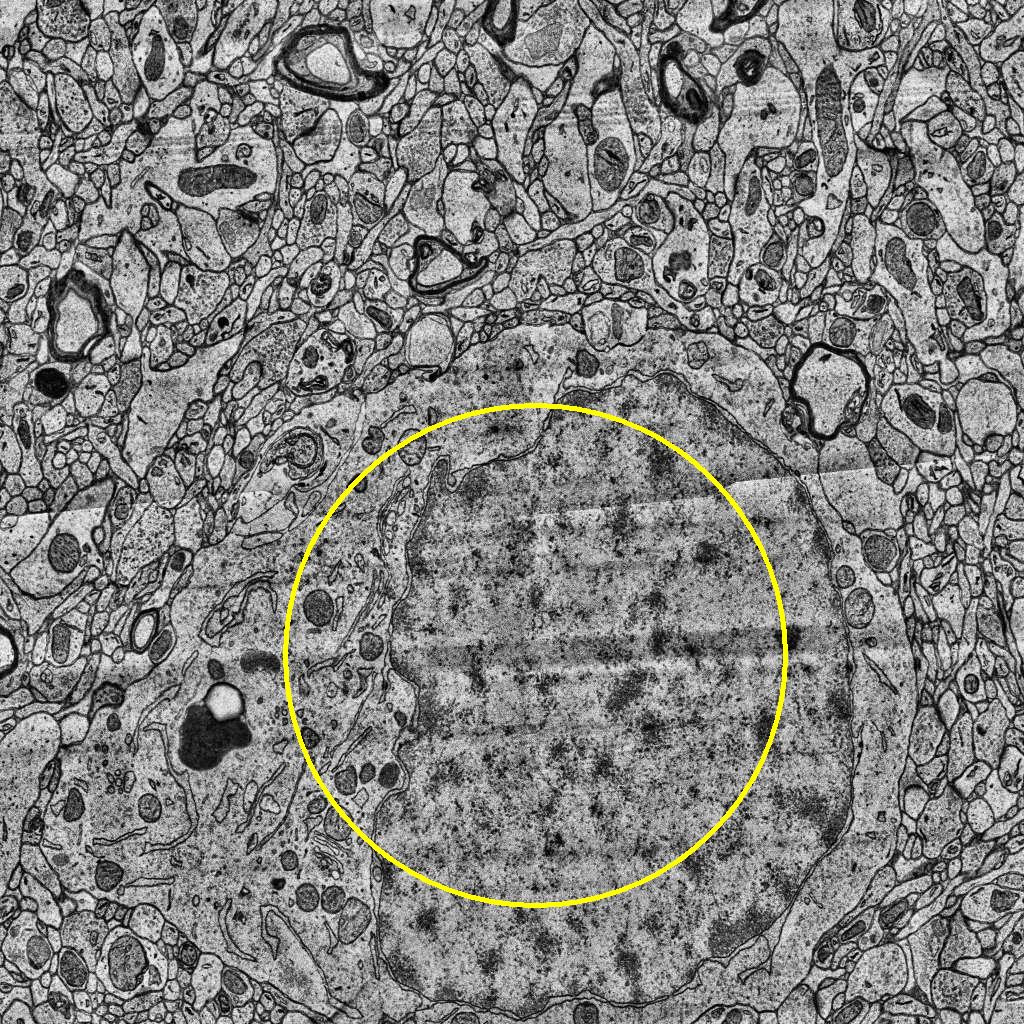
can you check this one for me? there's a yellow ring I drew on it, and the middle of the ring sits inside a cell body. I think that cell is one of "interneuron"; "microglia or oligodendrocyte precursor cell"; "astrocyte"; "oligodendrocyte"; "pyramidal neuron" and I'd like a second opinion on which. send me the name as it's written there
interneuron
